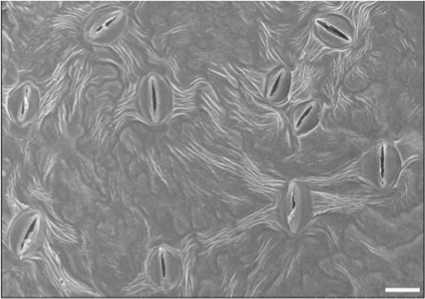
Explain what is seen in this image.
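Scanning electron view of a leaf epidermis with scattered stomata, each made of two curved, bean-shaped guard cells enclosing a slit-like pore. The pores are visibly open as dark elongated slits. Around the stomata the surface of the epidermal cells is covered by fine wavy ridges that often run toward the guard cell pairs.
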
